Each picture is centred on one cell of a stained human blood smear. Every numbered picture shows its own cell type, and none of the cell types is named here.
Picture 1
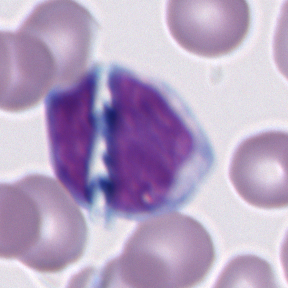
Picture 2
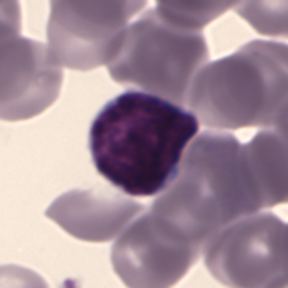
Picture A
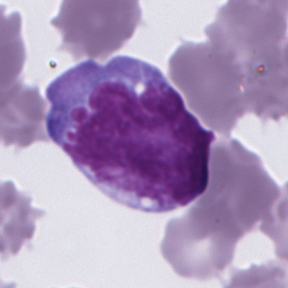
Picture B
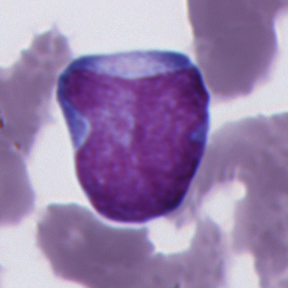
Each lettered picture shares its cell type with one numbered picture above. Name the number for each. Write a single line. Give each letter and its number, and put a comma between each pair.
A 1, B 1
